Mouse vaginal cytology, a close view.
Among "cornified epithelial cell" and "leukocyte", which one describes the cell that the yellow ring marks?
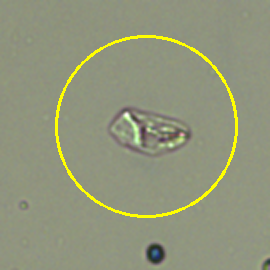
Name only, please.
cornified epithelial cell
